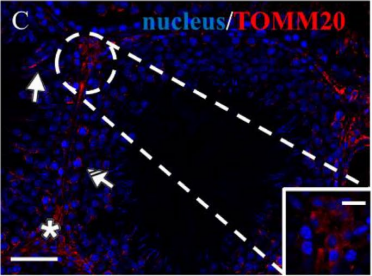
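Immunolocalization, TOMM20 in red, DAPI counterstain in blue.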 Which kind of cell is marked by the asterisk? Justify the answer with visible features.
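The asterisk lies in the space between seminiferous tubules. Cells there are surrounded by strong red signal.
Answer: Leydig cells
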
